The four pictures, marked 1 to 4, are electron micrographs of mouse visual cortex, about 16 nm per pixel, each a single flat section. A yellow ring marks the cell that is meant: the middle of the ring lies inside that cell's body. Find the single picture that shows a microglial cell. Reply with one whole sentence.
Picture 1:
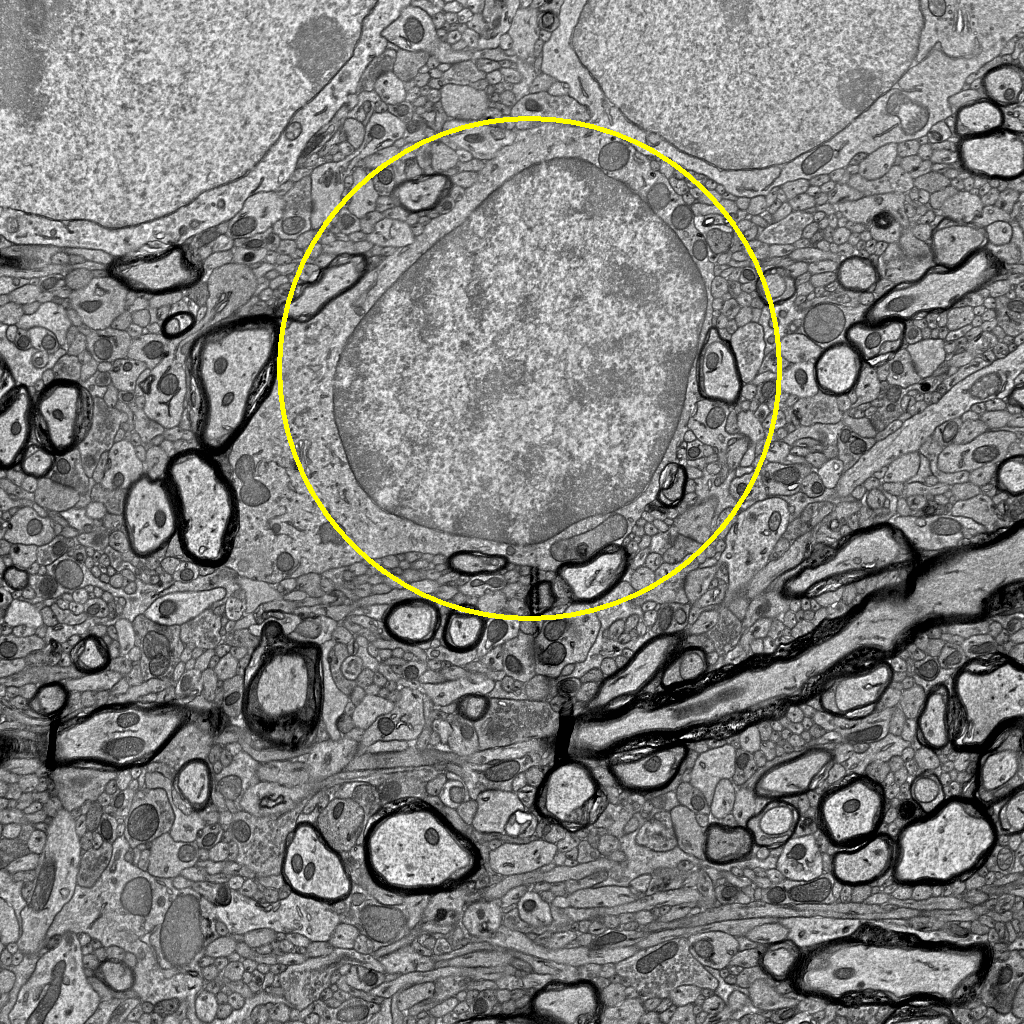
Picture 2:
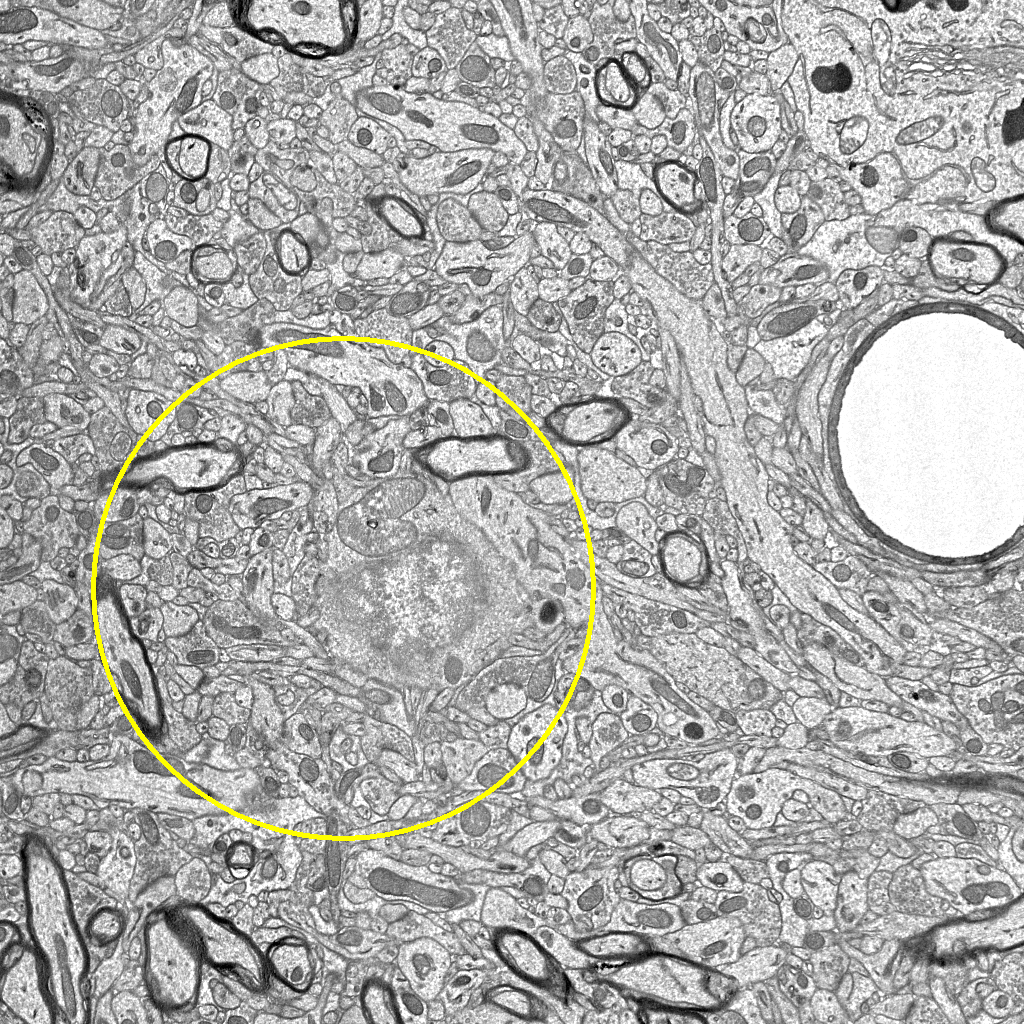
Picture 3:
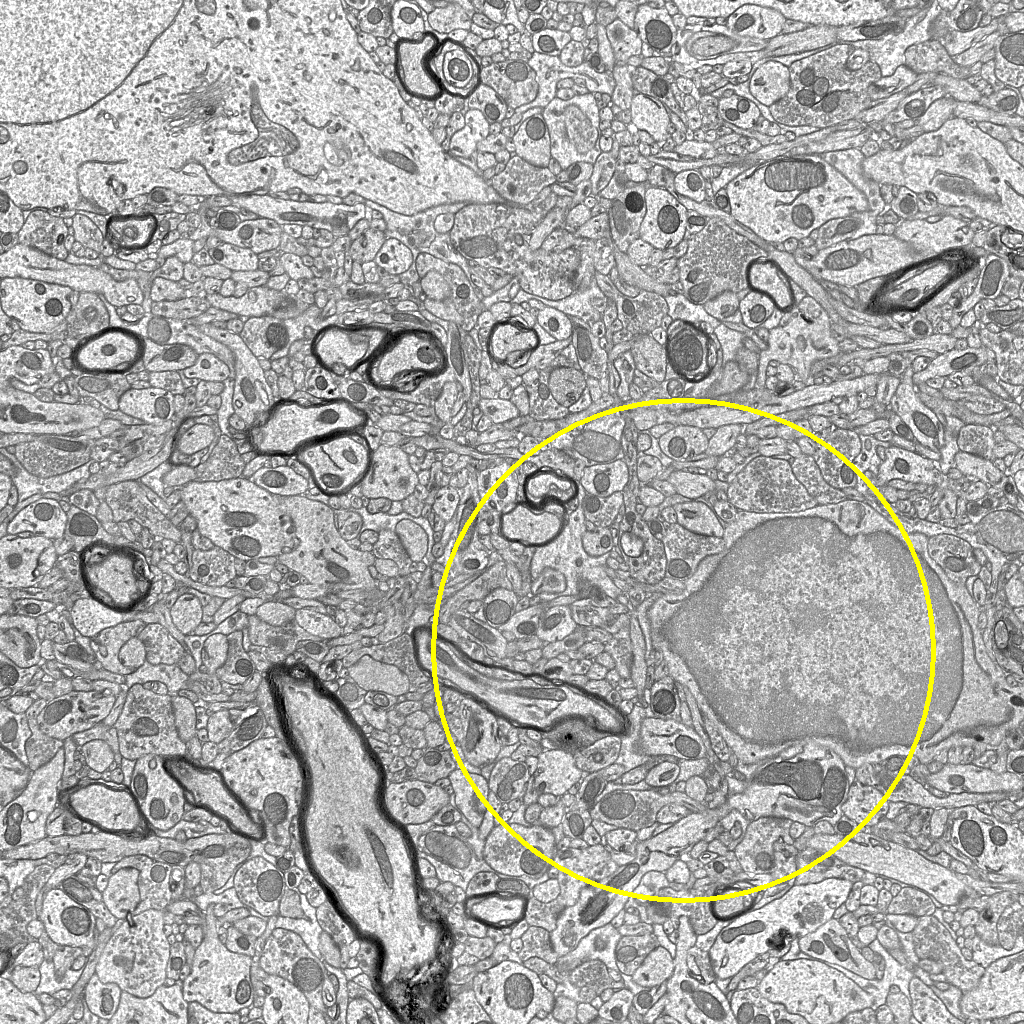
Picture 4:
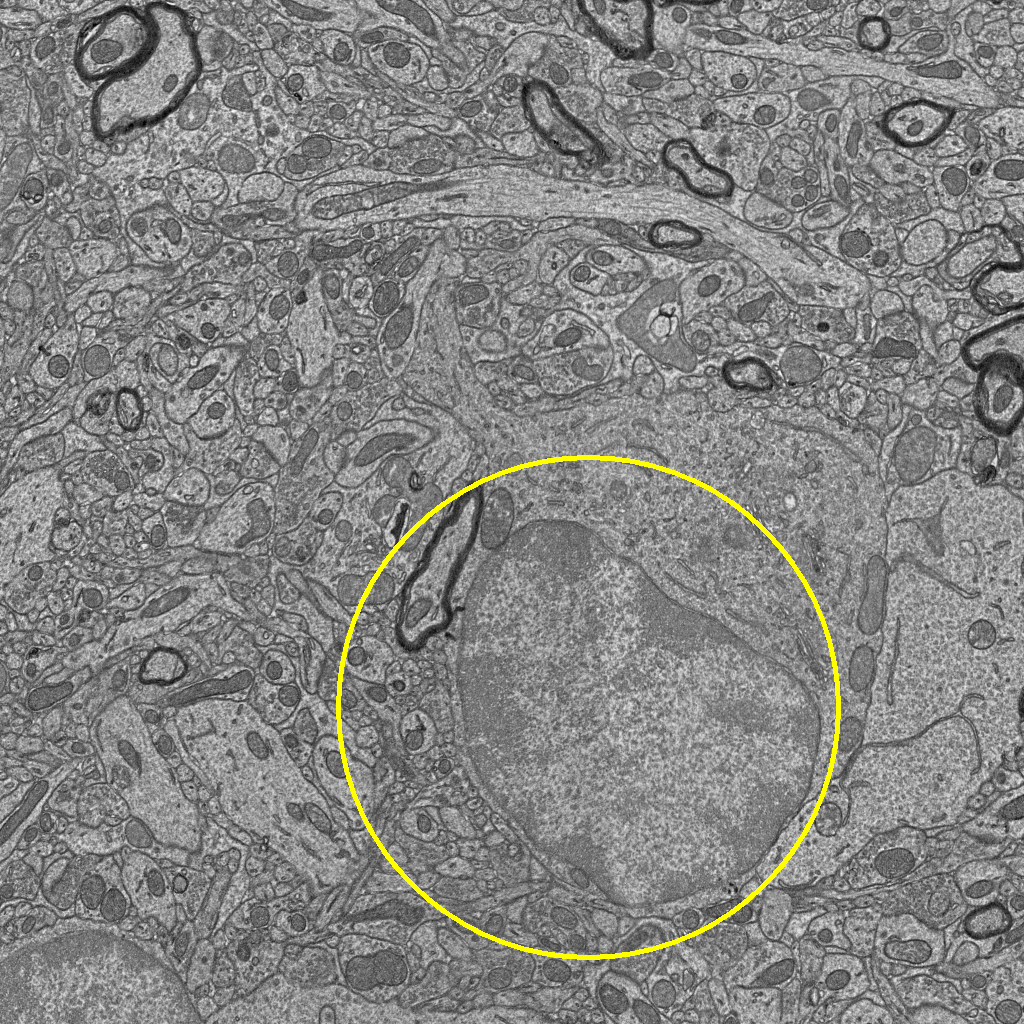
The microglial cell is the one in picture 3.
